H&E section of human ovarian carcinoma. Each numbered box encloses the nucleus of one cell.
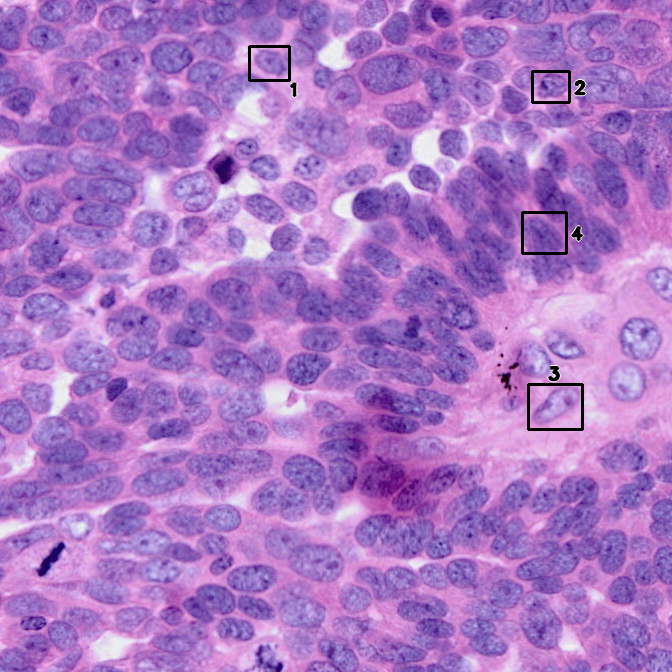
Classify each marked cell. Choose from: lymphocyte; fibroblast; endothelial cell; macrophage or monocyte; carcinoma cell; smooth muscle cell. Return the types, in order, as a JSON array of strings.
["macrophage or monocyte", "macrophage or monocyte", "fibroblast", "carcinoma cell"]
